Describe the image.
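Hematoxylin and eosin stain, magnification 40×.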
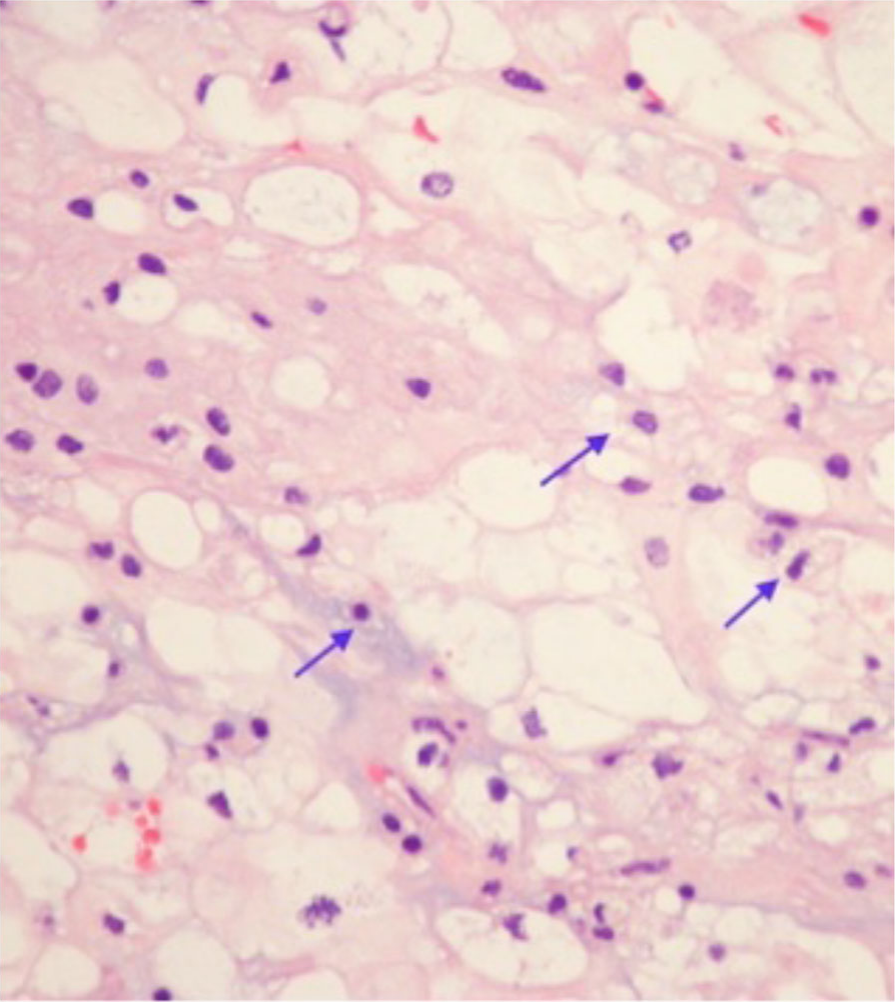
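This is a field of physaliphorous cells mixed with epithelioid cells. They lie in a pale pink background matrix with faint bluish areas. Many cells have abundant cytoplasm broken up into numerous clear vacuoles of varying size, which gives a bubbly, soap-like look. The vacuoles often push a small dark purple nucleus to the side. Between them lie cells with more solid pink cytoplasm and round to oval nuclei. A few red blood cells are scattered in the lower left.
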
